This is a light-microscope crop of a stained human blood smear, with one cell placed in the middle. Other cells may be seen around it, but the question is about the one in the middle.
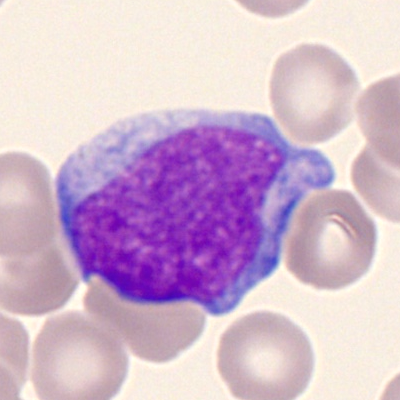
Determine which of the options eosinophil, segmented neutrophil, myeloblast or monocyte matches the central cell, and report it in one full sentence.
The identification for the central cell is a myeloblast.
